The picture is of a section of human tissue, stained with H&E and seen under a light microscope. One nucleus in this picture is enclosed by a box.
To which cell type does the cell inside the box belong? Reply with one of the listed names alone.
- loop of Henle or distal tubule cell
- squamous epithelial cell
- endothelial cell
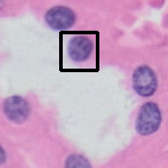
loop of Henle or distal tubule cell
